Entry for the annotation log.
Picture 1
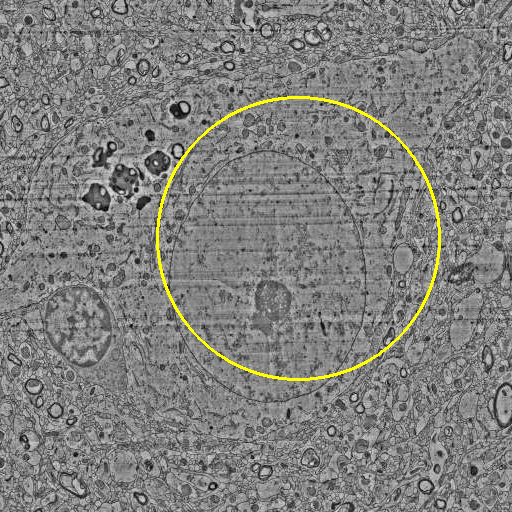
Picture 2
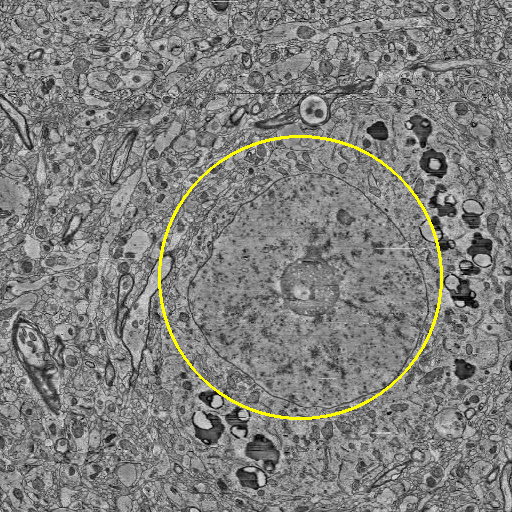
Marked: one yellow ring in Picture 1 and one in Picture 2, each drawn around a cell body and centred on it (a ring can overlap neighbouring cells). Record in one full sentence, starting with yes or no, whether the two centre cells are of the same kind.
Yes, both cells are of the same kind.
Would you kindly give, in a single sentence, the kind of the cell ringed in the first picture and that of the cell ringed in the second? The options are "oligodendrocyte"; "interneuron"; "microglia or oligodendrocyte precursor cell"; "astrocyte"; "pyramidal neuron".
Each of the two pictures has a pyramidal neuron at the ring centre.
